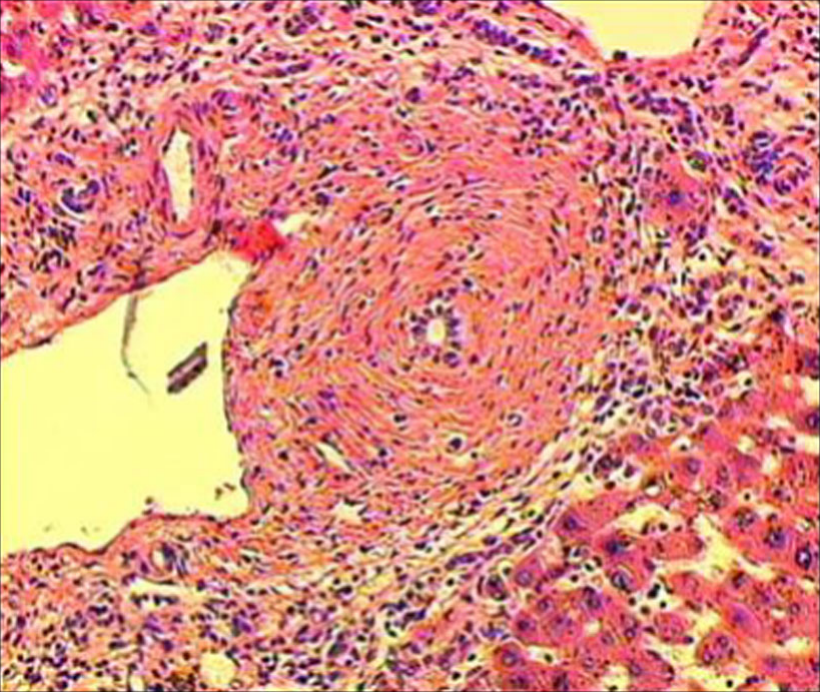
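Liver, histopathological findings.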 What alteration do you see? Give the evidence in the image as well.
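Onion-skin fibrosis. Pink fibrous tissue is laid down in concentric rings around a small central duct. The rings contain elongated, flattened nuclei that follow the circular layers.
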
